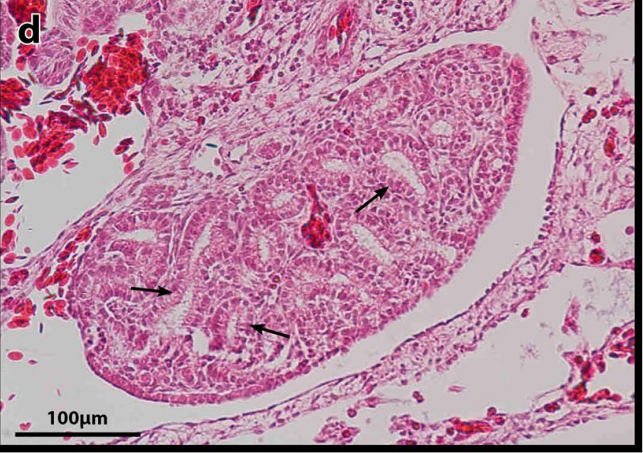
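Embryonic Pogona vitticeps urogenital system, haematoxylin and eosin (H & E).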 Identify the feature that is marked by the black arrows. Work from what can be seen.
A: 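Seminiferous tubules. Elongated cords of cells with pale central lumens fill the interior of the gonad. The arrows point at these cords with pale lumens.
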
